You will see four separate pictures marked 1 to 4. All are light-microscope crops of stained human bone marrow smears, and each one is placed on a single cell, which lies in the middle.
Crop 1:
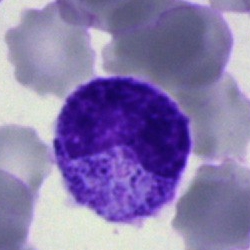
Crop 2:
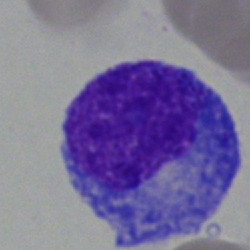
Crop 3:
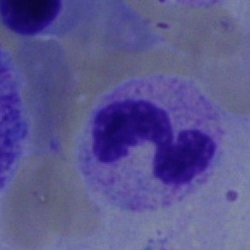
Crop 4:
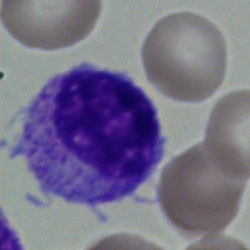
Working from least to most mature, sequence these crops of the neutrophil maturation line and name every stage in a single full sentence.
When ranked by maturity from lowest to highest, the order is crop 2 (a promyelocyte), crop 4 (a myelocyte), crop 1 (a metamyelocyte) and crop 3 (a segmented neutrophil).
